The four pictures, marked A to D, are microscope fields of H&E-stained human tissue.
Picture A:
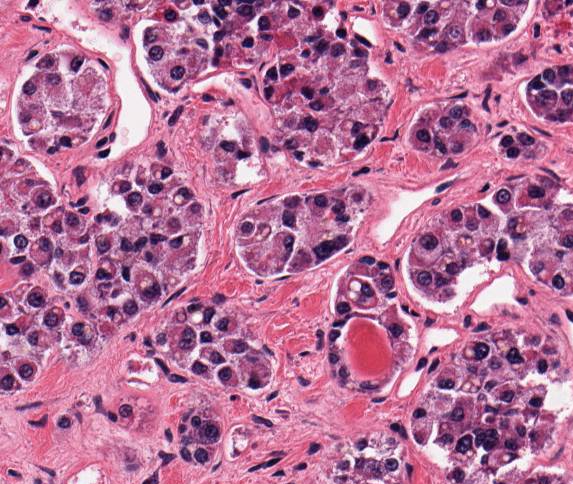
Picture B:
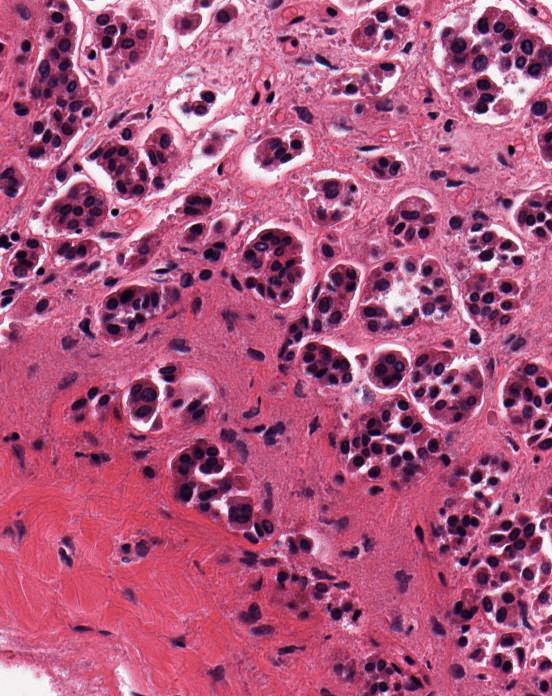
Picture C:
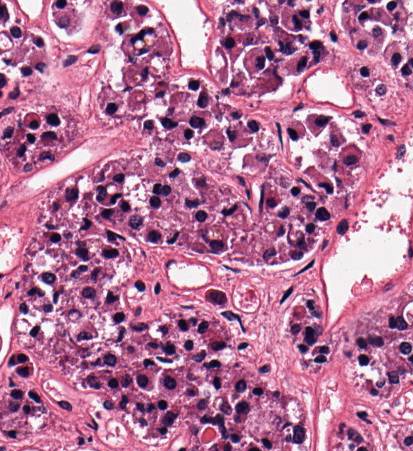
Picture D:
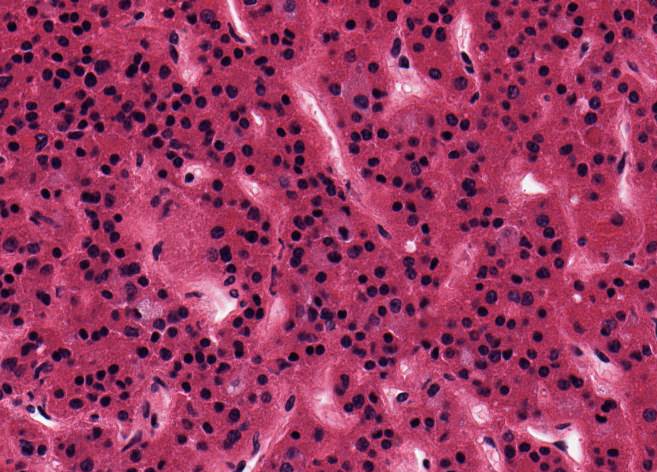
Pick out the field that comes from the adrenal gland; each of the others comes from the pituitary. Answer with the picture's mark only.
B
